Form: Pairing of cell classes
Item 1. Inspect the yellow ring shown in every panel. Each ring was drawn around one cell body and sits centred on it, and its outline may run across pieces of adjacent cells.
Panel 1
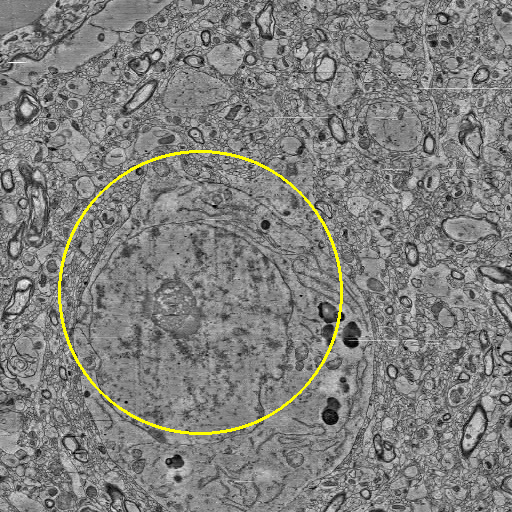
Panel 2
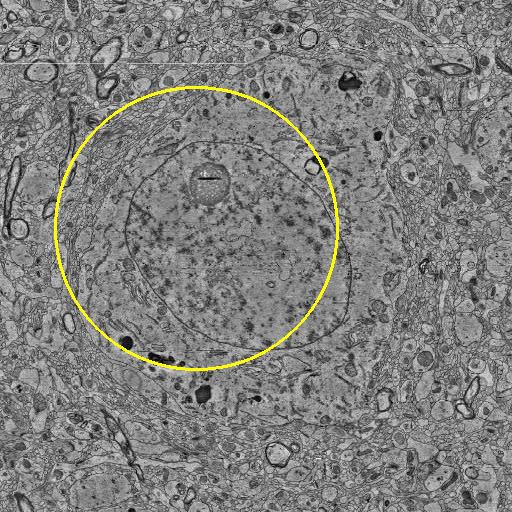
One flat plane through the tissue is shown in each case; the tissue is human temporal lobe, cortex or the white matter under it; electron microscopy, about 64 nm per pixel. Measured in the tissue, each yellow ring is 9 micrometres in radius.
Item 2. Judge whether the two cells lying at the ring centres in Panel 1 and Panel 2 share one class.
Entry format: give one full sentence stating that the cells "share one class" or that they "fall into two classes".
The cells at the ring centres in Panel 1 and Panel 2 share one class.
